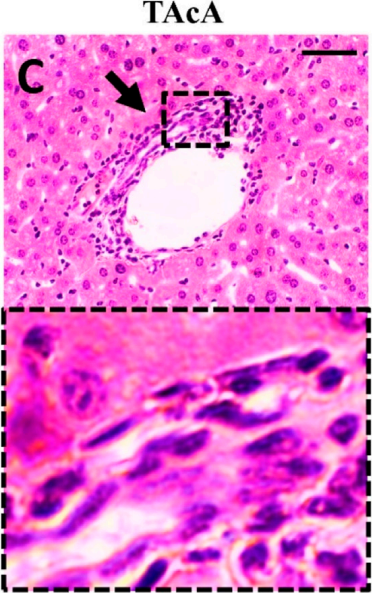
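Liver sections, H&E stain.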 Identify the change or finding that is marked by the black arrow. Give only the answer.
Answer: inflammatory cell infiltration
